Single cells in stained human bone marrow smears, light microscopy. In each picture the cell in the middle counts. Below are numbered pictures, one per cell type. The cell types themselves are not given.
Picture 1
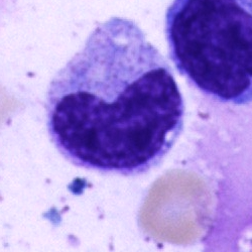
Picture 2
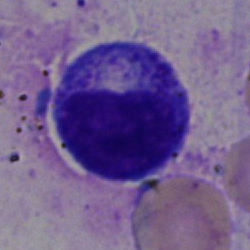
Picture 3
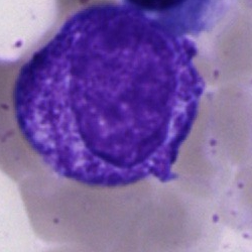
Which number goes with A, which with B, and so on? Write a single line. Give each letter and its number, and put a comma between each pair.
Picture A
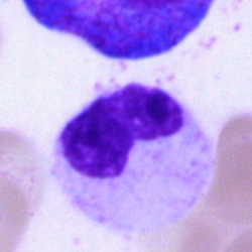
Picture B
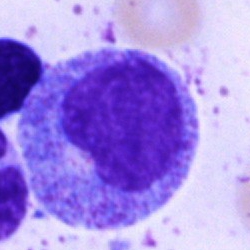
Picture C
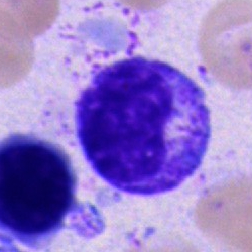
A 1, B 3, C 2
